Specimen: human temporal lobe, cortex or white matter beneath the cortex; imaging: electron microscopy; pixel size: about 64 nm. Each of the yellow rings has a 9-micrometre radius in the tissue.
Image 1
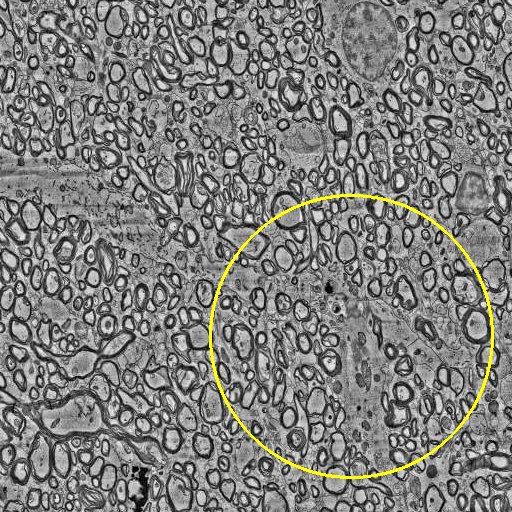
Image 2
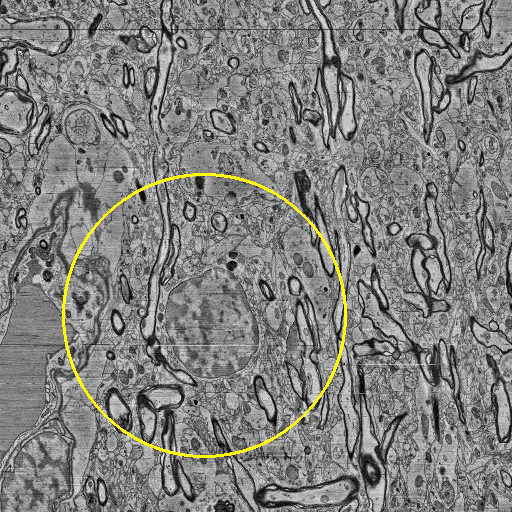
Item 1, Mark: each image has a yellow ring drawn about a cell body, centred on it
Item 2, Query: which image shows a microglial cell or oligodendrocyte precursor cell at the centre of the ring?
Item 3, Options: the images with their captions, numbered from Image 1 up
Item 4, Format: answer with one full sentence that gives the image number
My answer is image 2, where the cell at the ring's centre fits.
